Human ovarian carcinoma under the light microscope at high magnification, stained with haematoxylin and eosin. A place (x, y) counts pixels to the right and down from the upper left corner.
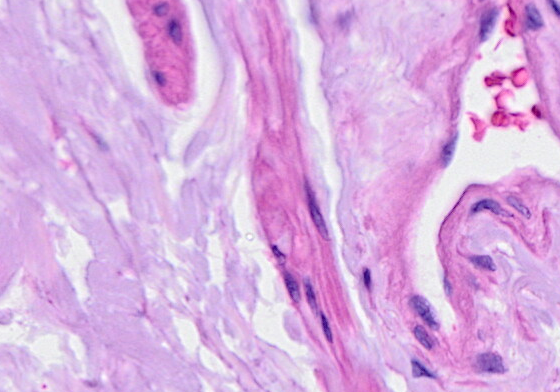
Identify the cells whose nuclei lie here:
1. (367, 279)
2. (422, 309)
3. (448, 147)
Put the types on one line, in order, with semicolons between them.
smooth muscle cell; endothelial cell; endothelial cell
